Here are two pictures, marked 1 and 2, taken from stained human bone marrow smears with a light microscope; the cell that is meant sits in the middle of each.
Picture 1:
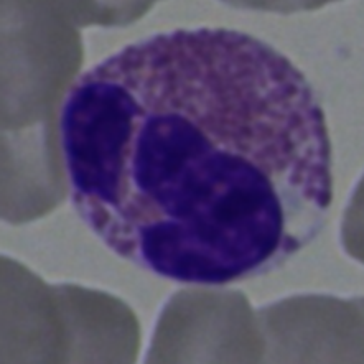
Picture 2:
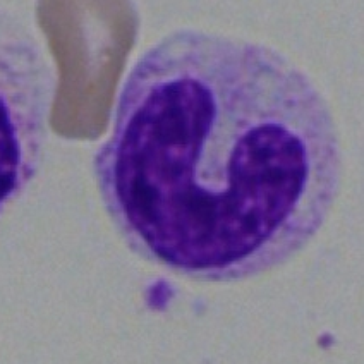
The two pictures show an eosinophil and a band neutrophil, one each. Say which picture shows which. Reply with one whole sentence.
Picture 1 is of an eosinophil, and picture 2 is of a band neutrophil.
